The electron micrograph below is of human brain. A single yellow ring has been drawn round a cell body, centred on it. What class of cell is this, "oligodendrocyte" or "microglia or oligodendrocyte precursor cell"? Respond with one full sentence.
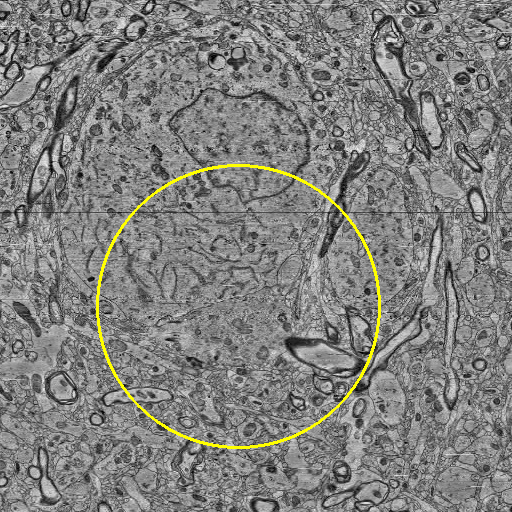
In the micrograph, the cell centred inside the yellow ring is an oligodendrocyte.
